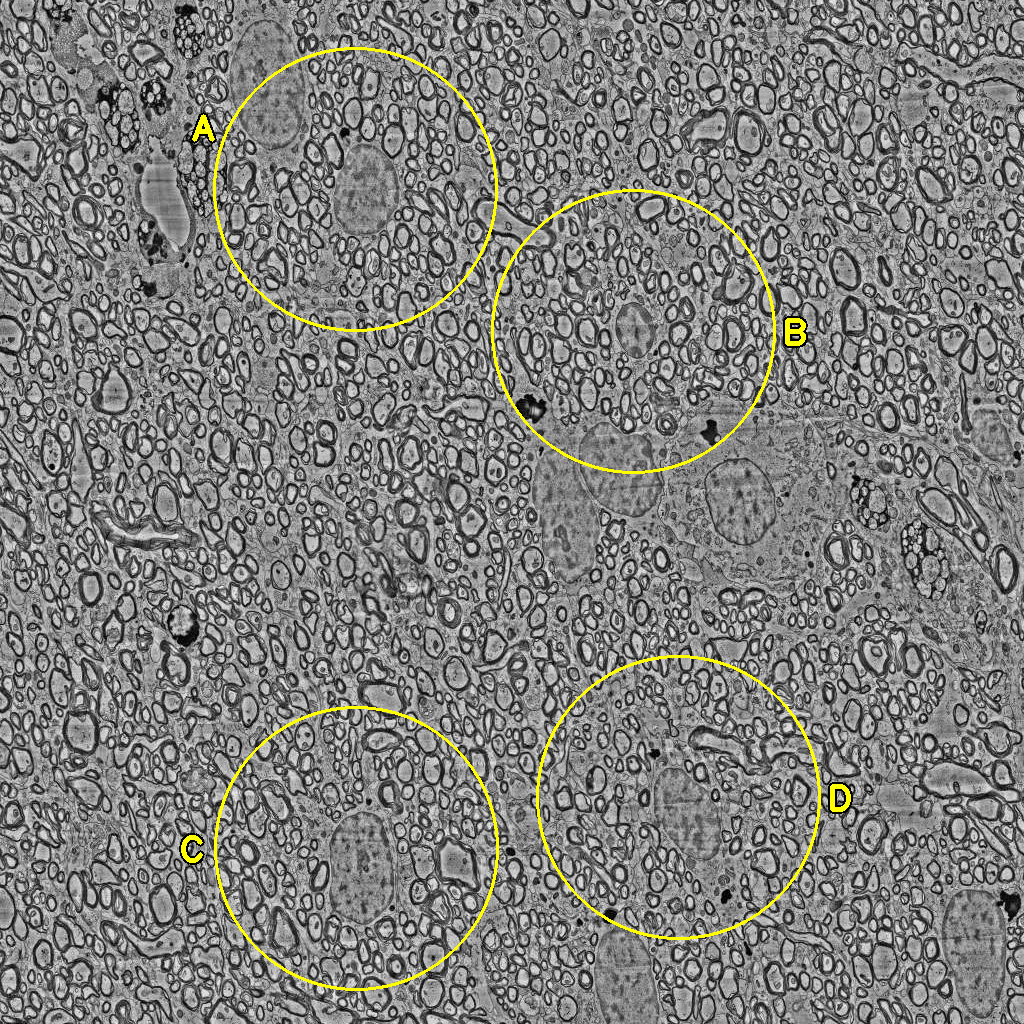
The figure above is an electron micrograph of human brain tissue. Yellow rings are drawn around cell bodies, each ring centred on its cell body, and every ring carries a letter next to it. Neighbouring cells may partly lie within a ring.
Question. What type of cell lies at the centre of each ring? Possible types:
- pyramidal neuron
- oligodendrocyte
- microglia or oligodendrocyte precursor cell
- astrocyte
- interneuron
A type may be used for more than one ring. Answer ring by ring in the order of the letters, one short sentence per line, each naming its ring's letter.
In ring A, the central cell is an oligodendrocyte.
In ring B, the central cell is a microglial cell or oligodendrocyte precursor cell.
In ring C, the central cell is a microglial cell or oligodendrocyte precursor cell.
In ring D, the central cell is an oligodendrocyte.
